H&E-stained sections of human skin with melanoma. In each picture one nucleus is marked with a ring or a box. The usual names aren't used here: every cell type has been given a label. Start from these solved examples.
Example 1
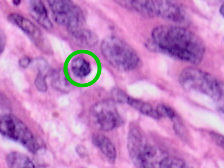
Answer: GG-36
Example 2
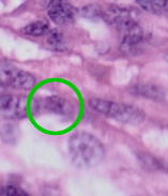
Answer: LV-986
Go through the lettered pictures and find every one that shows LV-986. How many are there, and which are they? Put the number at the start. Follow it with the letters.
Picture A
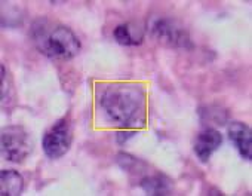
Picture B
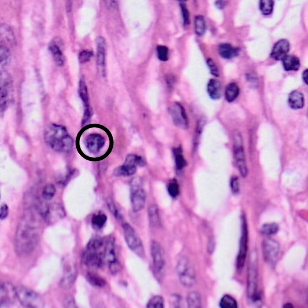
Count: 1 (A)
